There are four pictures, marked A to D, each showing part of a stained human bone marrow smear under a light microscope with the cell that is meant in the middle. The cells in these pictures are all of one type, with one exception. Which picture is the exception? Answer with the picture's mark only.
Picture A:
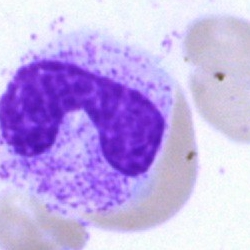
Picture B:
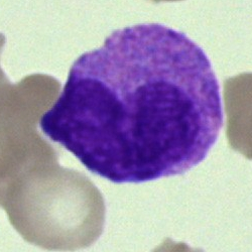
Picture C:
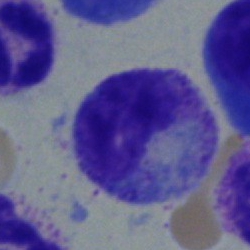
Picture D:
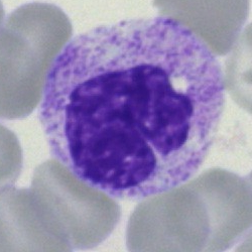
A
